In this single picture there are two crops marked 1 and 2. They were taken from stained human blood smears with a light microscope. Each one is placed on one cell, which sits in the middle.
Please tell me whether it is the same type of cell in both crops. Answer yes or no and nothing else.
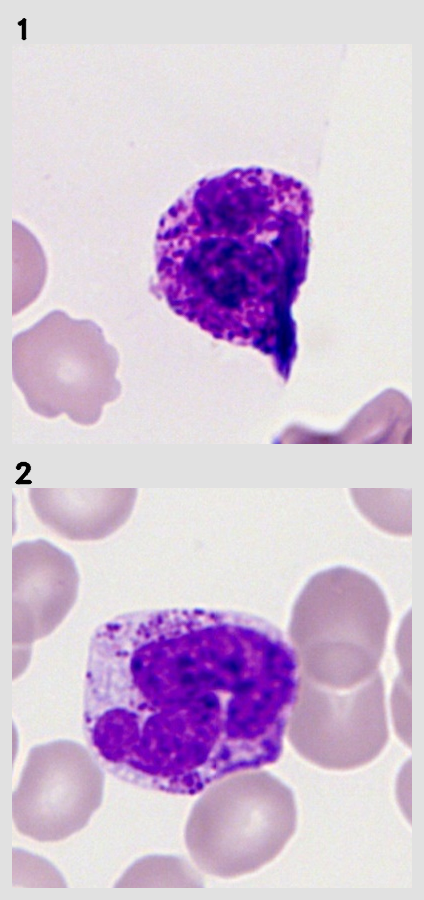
yes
